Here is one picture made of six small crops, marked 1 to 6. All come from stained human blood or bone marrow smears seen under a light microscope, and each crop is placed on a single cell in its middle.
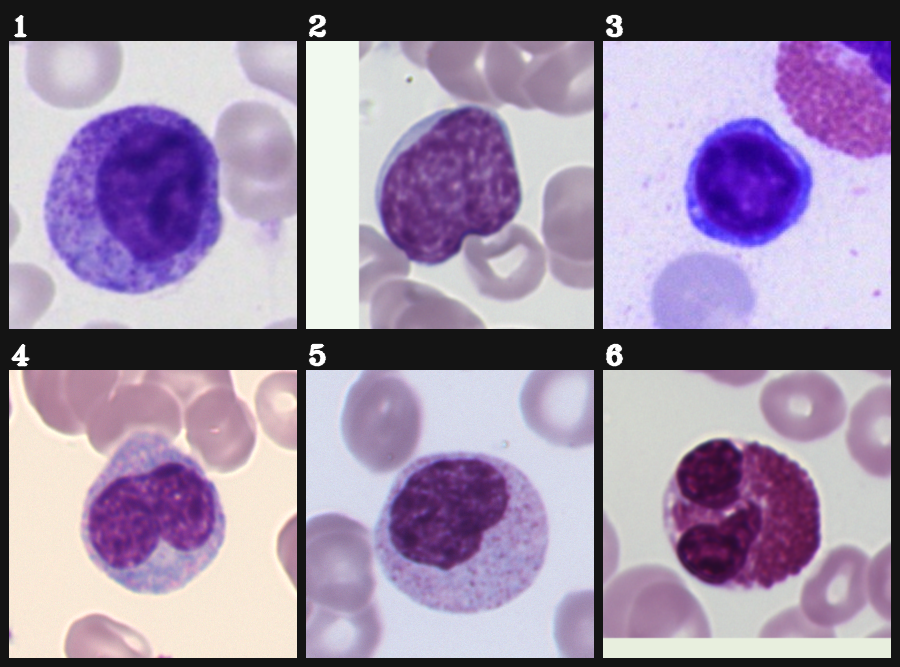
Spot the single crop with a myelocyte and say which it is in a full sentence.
Of the crops given, a myelocyte is found in crop 1.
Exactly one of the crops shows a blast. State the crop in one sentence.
Among all the crops given here, the one with a blast is crop 2.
